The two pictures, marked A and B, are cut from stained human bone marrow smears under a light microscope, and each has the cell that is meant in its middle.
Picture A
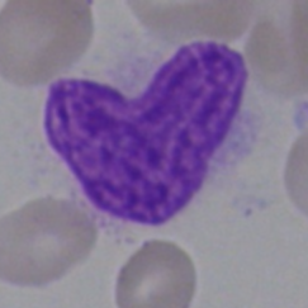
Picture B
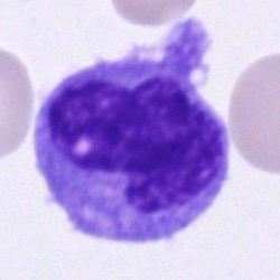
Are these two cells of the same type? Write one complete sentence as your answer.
Yes, both are monocytes.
